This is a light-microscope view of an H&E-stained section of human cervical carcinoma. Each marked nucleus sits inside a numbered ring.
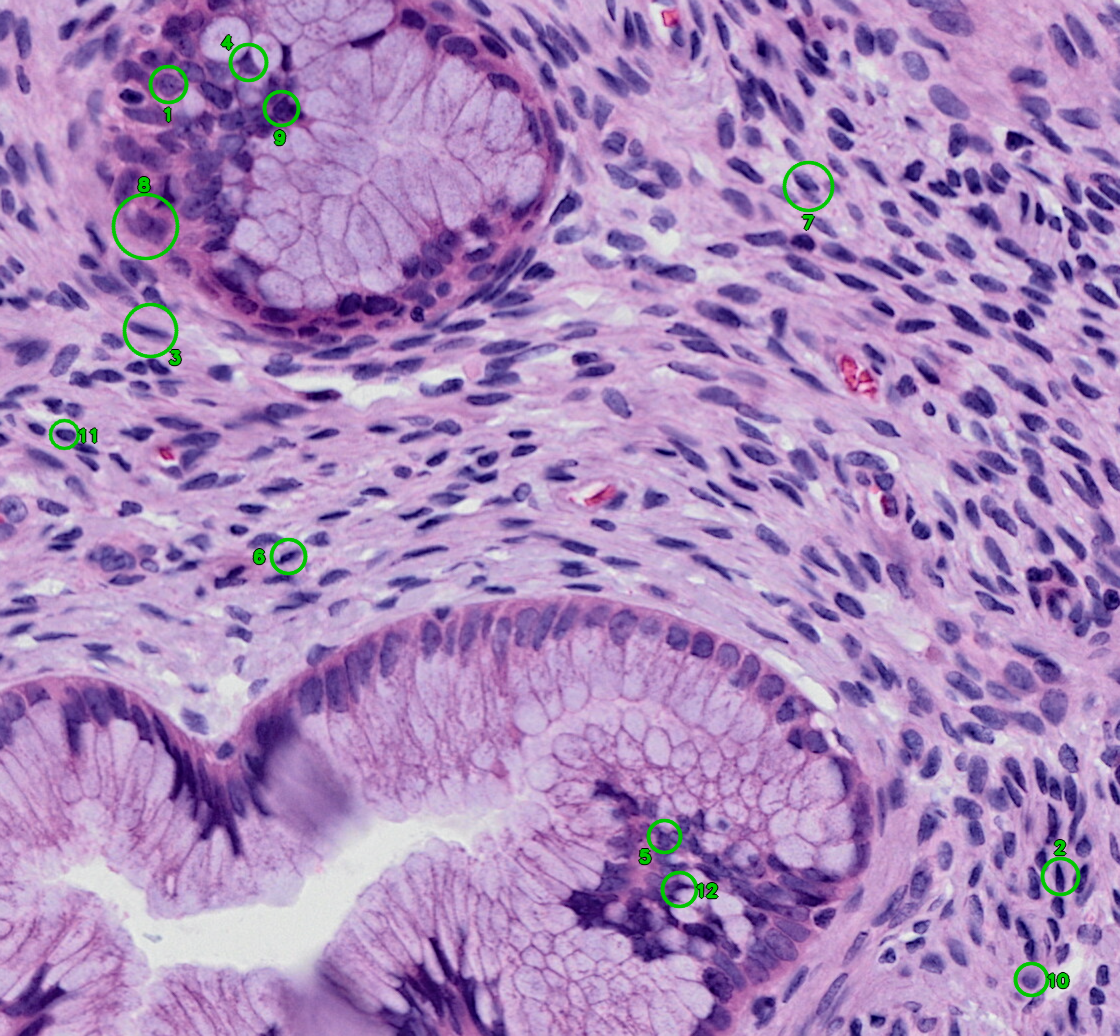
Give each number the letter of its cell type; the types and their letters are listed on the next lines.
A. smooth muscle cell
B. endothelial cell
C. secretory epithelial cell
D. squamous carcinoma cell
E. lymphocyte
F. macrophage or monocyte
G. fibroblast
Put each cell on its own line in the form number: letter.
1: C
2: G
3: G
4: C
5: C
6: G
7: G
8: C
9: C
10: G
11: G
12: C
